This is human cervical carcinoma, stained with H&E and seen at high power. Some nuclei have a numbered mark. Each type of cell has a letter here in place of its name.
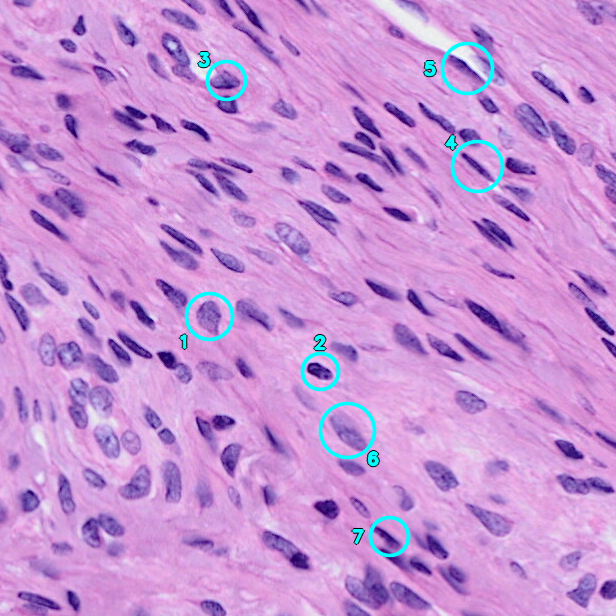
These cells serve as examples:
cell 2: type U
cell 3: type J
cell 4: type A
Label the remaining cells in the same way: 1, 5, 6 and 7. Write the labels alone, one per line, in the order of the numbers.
type A
type J
type A
type A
